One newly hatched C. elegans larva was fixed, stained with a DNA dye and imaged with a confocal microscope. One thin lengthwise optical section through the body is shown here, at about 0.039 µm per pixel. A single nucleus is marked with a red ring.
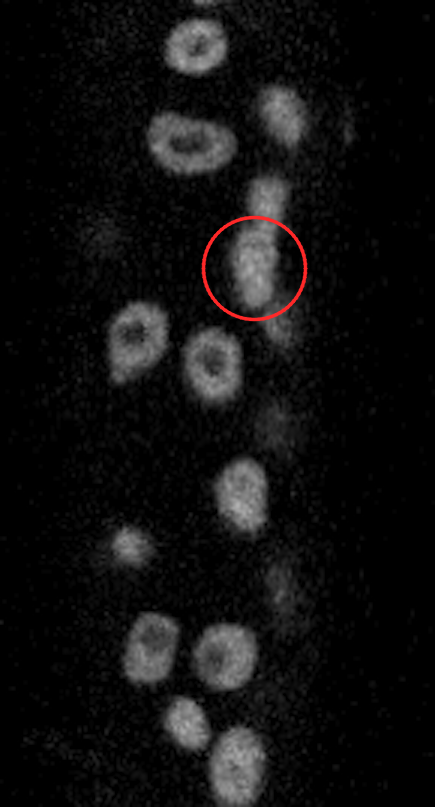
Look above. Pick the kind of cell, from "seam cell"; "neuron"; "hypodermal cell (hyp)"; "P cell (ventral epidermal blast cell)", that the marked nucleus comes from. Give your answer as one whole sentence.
The marked cell is a P cell (ventral epidermal blast cell).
